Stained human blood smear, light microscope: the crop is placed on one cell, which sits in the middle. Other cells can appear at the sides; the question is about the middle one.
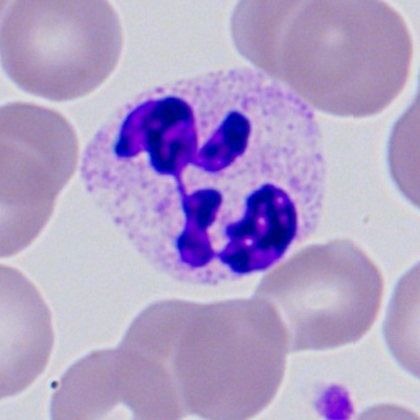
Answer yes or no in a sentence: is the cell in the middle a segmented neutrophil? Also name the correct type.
Yes, the centred cell is categorised as a segmented neutrophil.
